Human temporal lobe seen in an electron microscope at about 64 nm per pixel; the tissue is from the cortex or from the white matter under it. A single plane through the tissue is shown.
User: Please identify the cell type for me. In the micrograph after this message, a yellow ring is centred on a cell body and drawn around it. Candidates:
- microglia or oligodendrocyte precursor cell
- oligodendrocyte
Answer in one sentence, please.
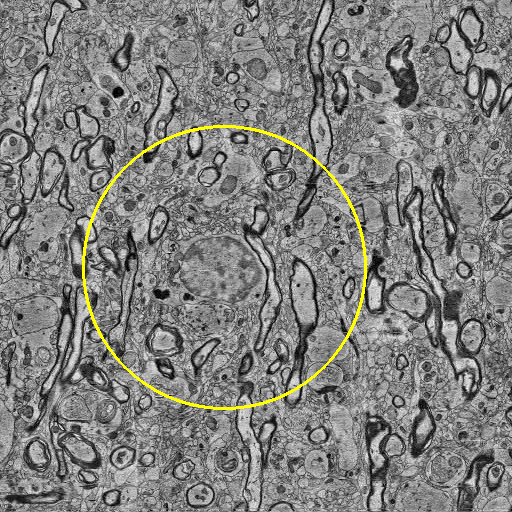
The ring is drawn around the cell body of an oligodendrocyte.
